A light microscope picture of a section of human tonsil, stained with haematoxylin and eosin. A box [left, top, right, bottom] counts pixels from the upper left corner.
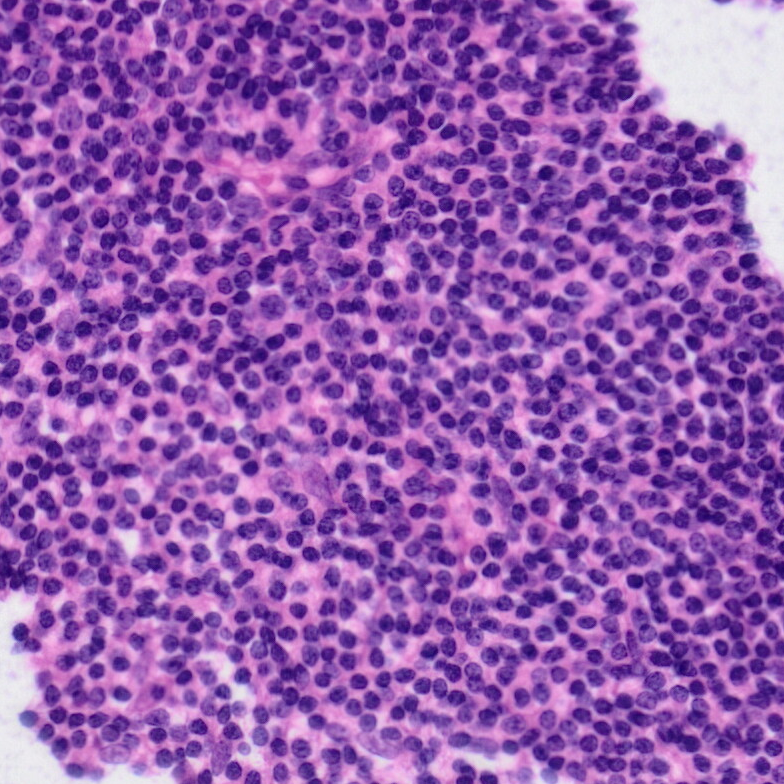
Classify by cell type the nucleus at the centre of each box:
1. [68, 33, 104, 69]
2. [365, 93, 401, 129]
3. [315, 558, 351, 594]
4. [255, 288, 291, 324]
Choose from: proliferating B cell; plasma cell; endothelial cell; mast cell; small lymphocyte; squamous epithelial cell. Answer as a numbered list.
1. small lymphocyte
2. small lymphocyte
3. small lymphocyte
4. proliferating B cell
